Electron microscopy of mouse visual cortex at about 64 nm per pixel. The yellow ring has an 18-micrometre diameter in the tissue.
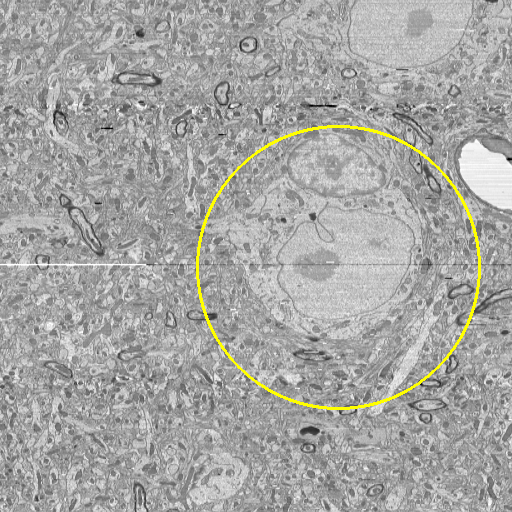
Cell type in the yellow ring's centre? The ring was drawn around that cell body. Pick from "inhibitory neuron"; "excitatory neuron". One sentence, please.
The ringed cell body is that of an excitatory neuron.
